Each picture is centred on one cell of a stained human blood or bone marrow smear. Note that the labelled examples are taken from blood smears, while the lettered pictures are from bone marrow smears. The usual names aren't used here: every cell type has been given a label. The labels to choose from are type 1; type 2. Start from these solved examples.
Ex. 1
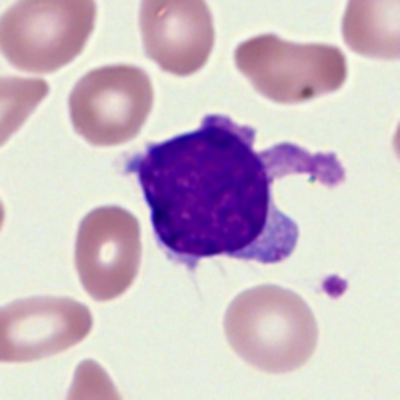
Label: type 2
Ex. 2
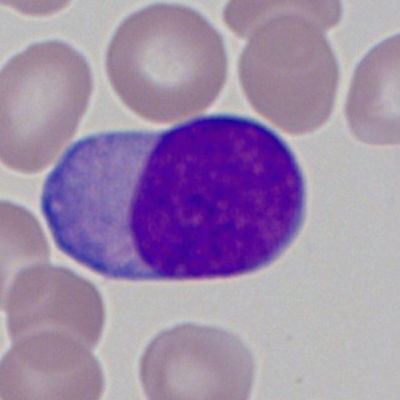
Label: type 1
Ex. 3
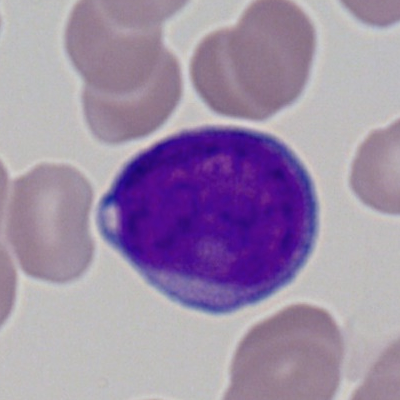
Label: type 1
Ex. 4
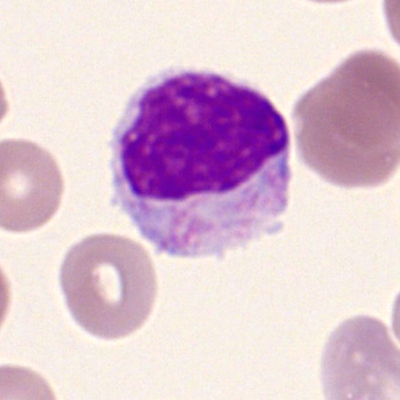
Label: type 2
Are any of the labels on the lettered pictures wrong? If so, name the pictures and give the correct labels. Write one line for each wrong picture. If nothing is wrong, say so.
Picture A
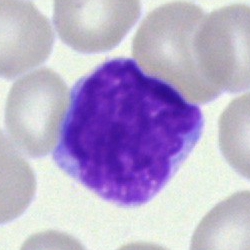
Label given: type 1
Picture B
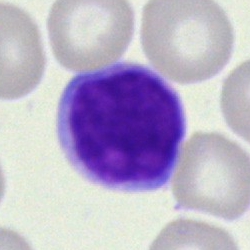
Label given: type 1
Wrong: B (type 1); correct: type 2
